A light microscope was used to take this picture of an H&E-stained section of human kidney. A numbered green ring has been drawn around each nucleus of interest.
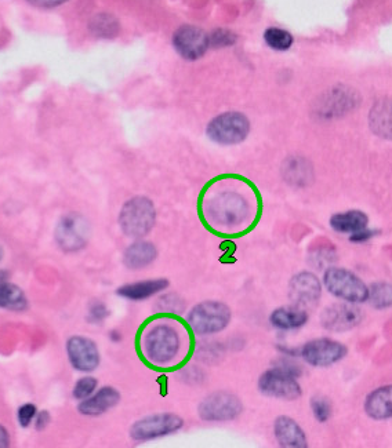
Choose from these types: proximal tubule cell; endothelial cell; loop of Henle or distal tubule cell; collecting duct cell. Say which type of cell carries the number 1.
collecting duct cell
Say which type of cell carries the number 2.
proximal tubule cell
